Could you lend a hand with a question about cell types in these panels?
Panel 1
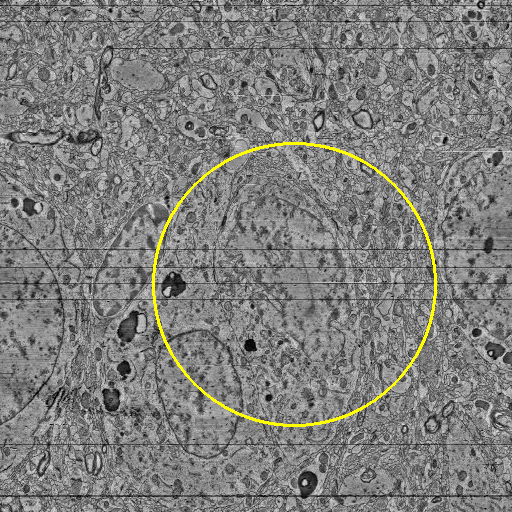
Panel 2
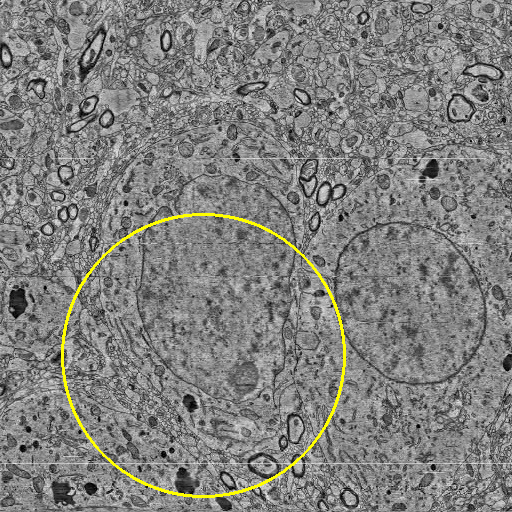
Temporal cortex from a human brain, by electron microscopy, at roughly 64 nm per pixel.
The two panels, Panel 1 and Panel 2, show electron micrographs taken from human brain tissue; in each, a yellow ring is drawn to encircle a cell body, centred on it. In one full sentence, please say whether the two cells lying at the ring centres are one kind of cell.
Yes, the cells at the ring centres in the two panels are one kind of cell.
